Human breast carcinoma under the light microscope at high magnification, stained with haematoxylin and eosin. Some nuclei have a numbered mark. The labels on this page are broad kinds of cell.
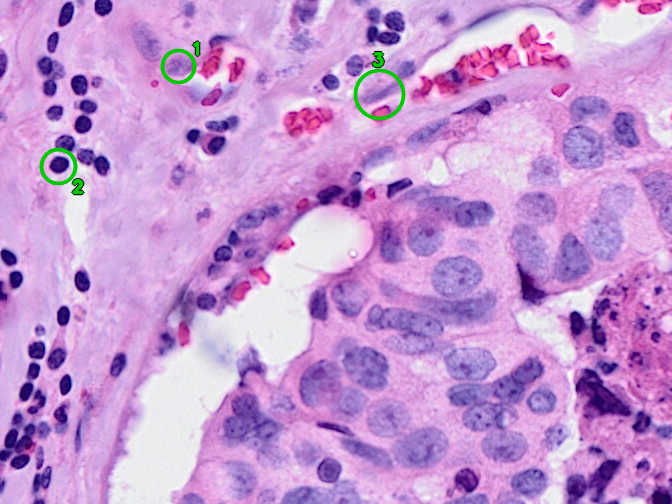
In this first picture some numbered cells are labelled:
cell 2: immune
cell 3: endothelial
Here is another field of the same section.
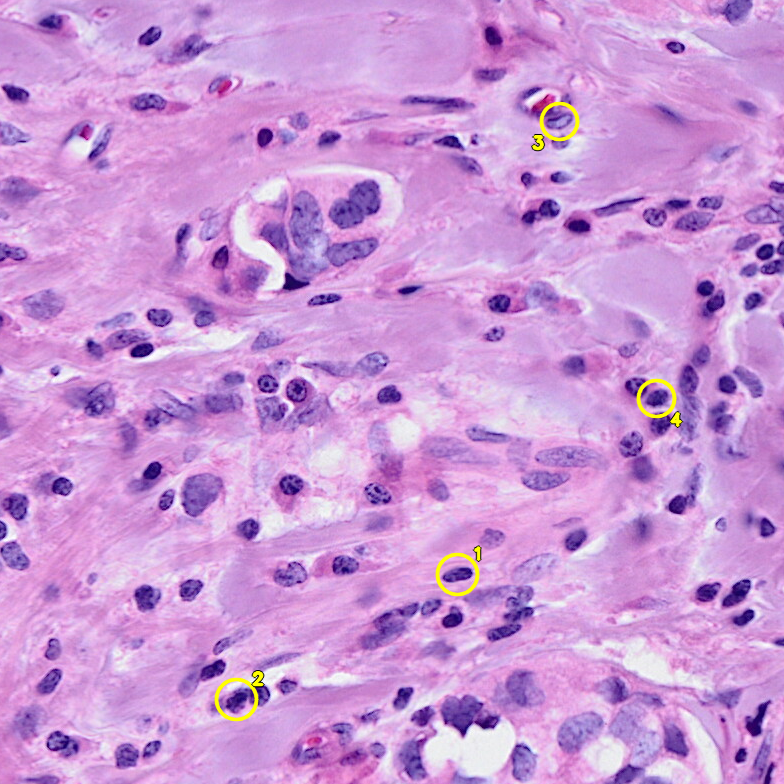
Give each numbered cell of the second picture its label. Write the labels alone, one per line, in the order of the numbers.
immune
immune
endothelial
immune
